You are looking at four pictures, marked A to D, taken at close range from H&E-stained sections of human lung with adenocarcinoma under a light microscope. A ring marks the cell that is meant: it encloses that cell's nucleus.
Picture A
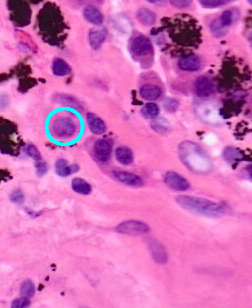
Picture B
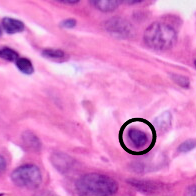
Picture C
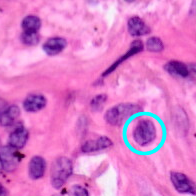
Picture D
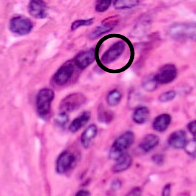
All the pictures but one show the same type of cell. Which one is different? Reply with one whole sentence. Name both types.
The others show plasma cells, but picture C shows a lymphocyte.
